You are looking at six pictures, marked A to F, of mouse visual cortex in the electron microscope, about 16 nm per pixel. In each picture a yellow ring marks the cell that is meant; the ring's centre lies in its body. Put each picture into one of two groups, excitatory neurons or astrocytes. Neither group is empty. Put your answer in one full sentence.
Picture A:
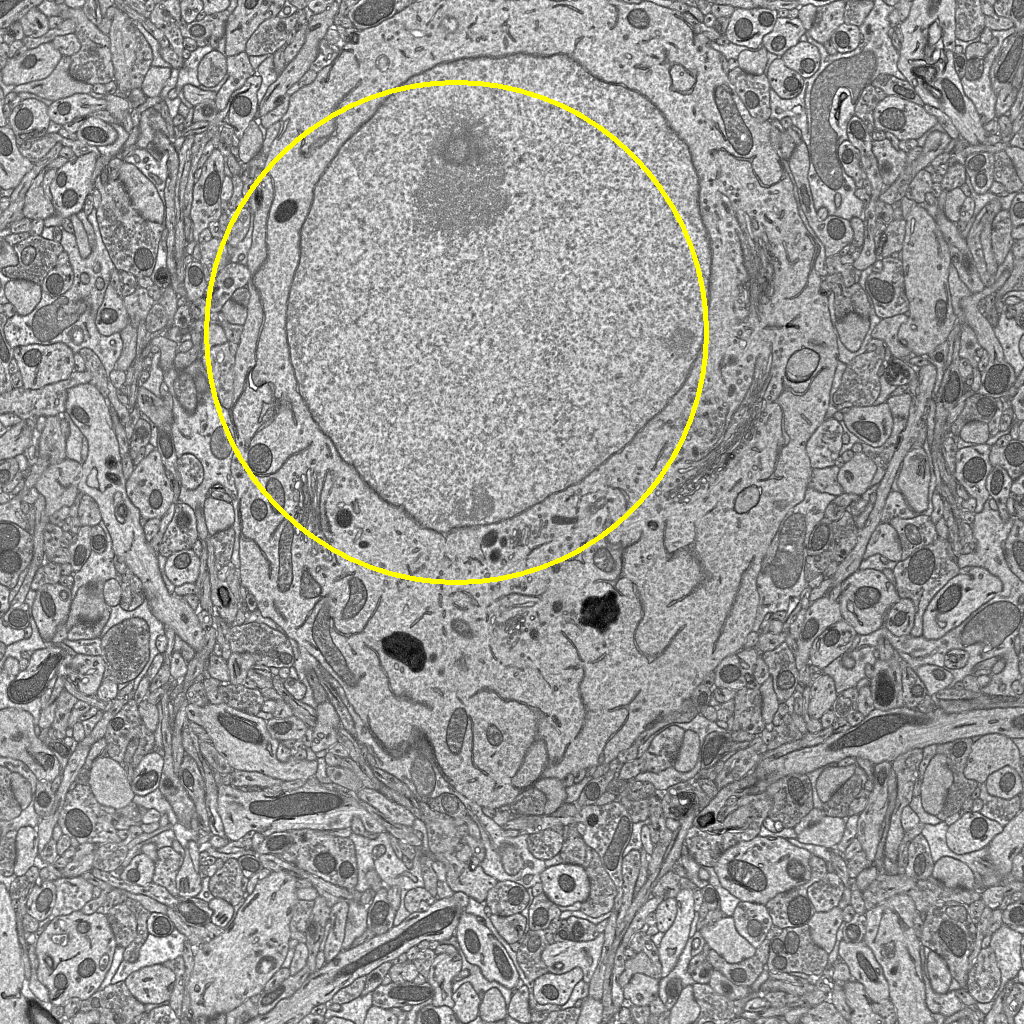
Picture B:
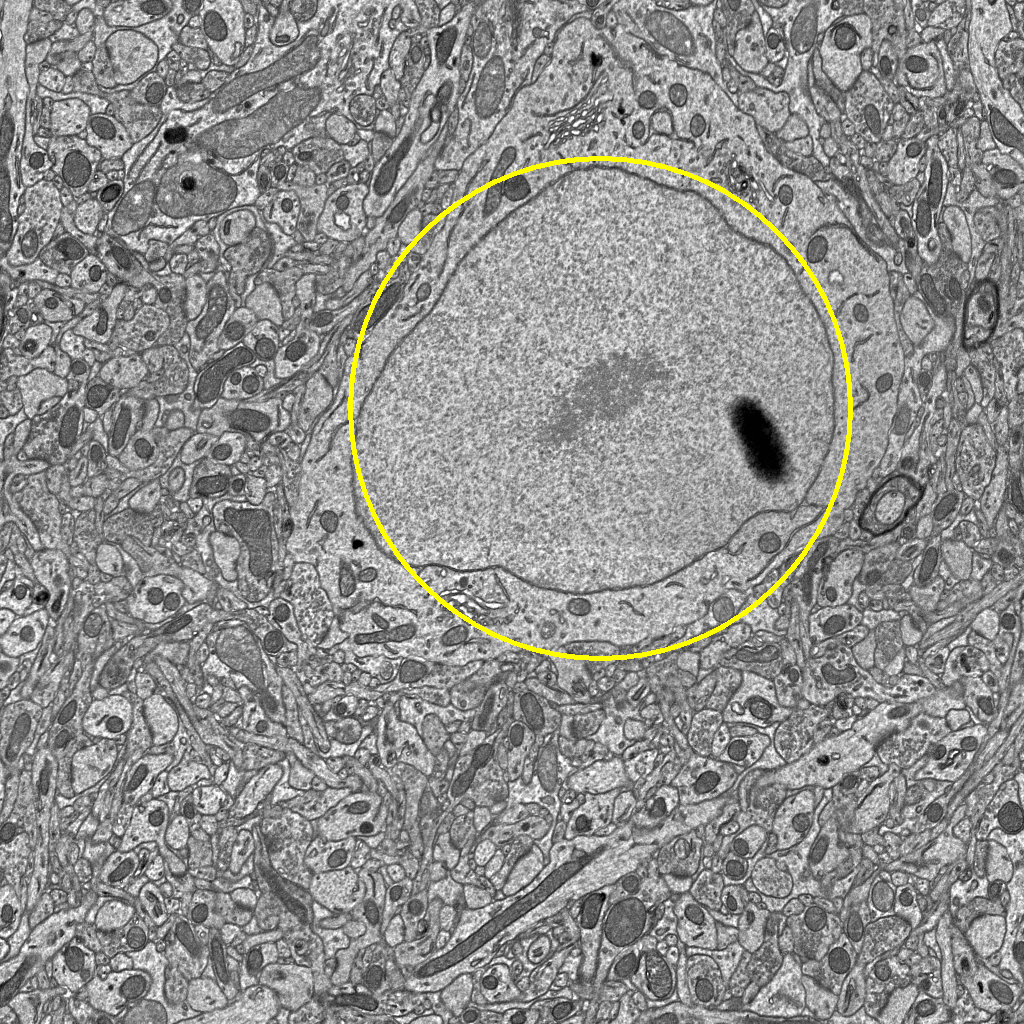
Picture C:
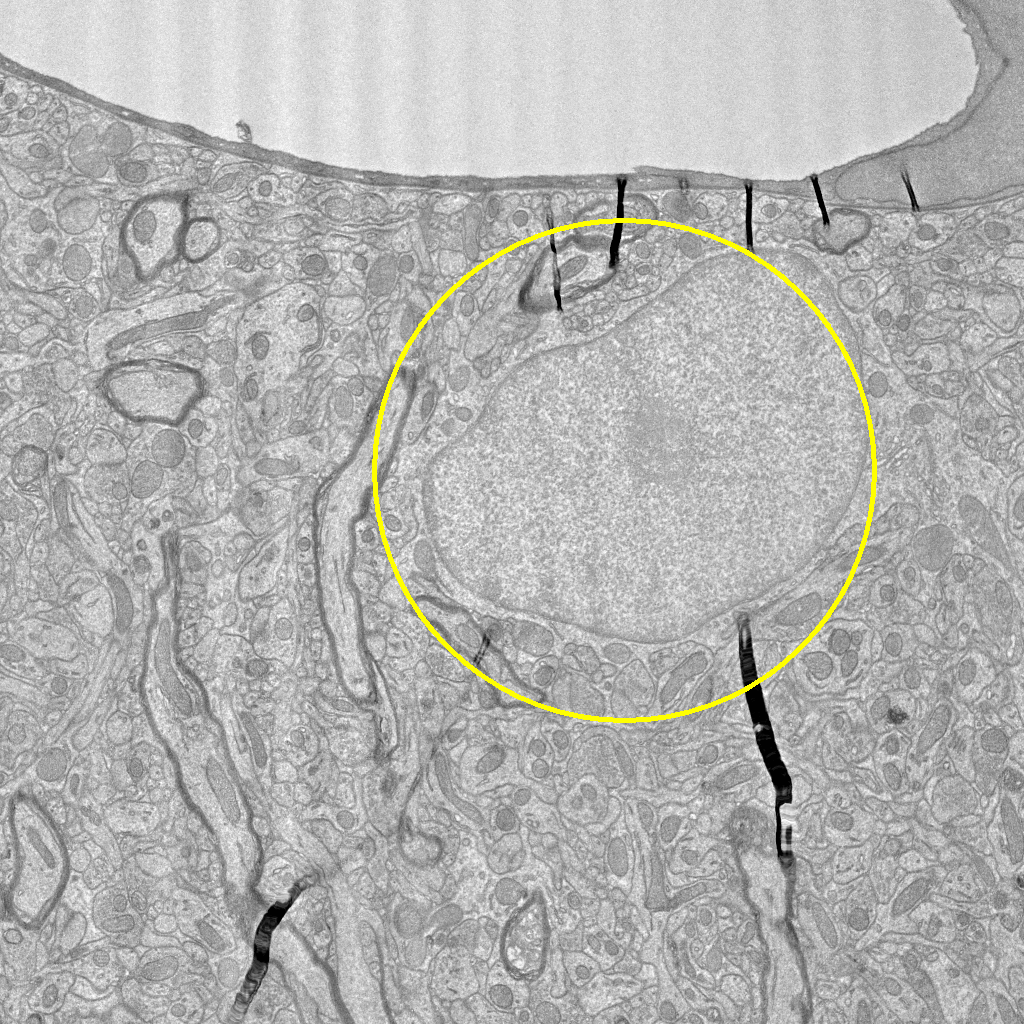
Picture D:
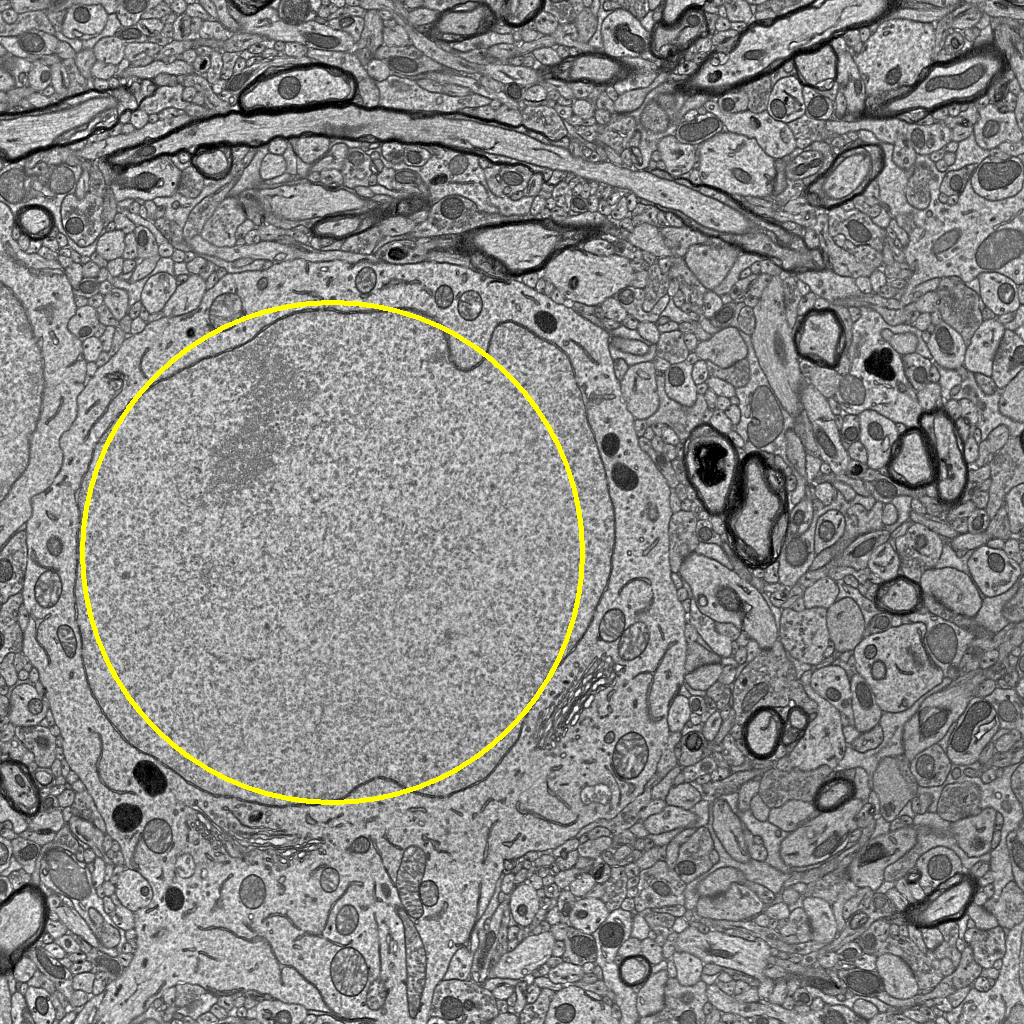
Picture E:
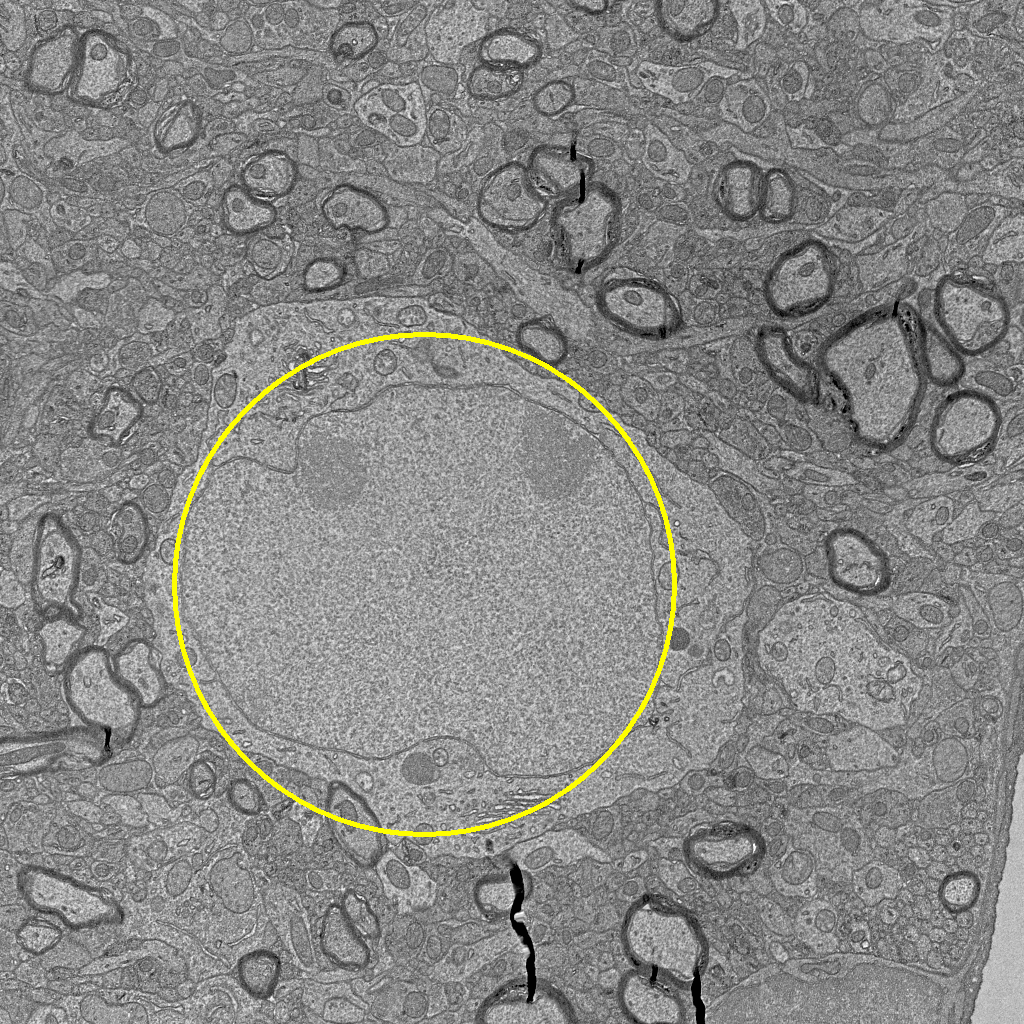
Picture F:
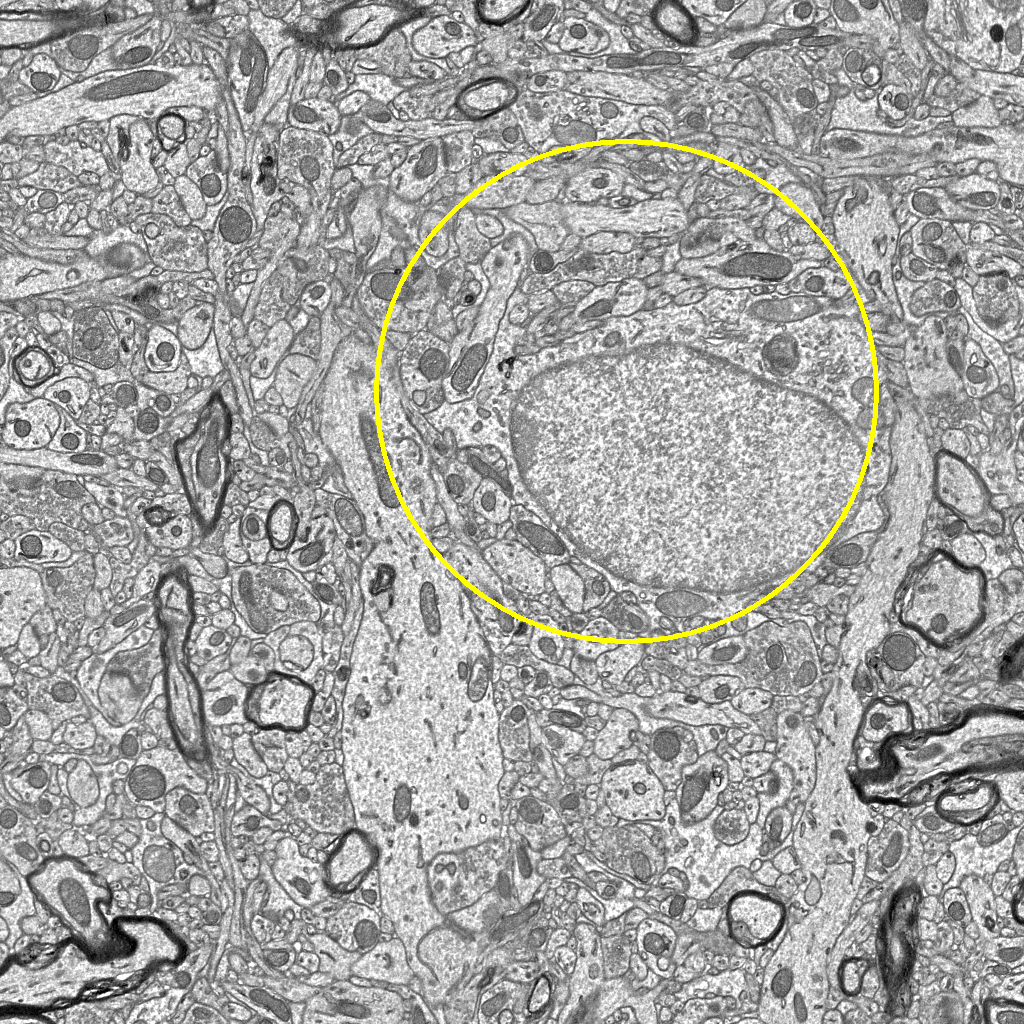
Pictures A, B, D and E show excitatory neurons; pictures C and F show astrocytes.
